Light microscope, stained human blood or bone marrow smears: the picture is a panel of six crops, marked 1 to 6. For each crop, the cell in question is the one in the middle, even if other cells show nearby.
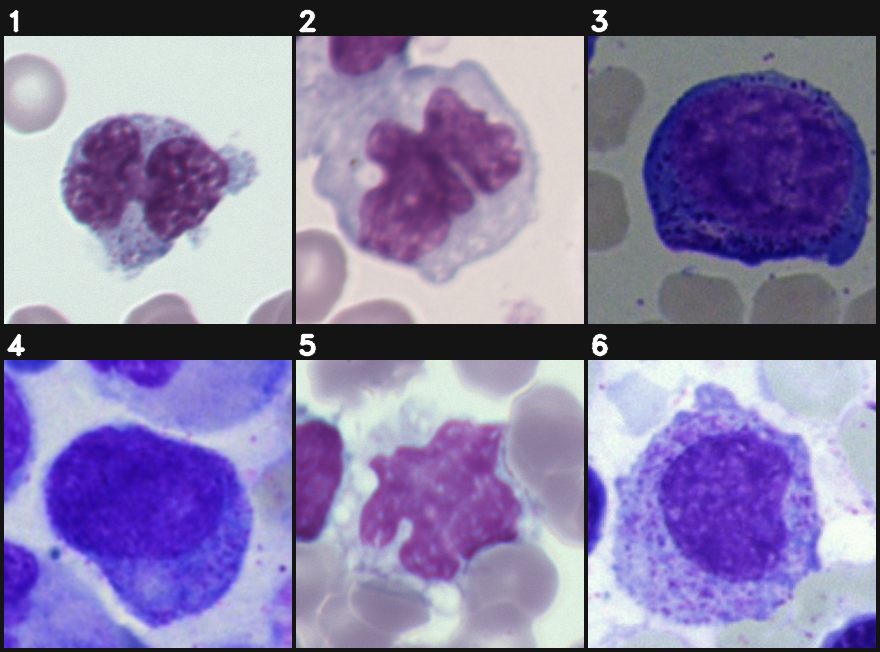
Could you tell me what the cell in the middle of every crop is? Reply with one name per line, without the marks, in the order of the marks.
monocyte
monocyte
promyelocyte
promyelocyte
monocyte
promyelocyte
